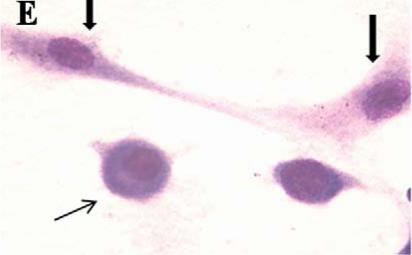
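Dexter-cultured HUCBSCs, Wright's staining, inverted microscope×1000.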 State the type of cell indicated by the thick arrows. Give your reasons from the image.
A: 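The cells under the thick arrows are elongated with long tapering cytoplasmic extensions. Each has a single oval purple nucleus.
Fibroblast-like.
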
